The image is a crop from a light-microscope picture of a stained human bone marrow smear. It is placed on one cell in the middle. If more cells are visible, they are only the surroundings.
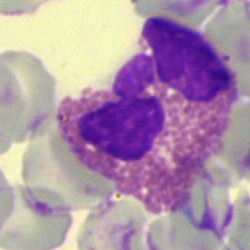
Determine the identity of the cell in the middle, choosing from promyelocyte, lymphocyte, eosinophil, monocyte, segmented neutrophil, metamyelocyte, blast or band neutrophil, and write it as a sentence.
The central cell, amid any neighbouring cells, is an eosinophil.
